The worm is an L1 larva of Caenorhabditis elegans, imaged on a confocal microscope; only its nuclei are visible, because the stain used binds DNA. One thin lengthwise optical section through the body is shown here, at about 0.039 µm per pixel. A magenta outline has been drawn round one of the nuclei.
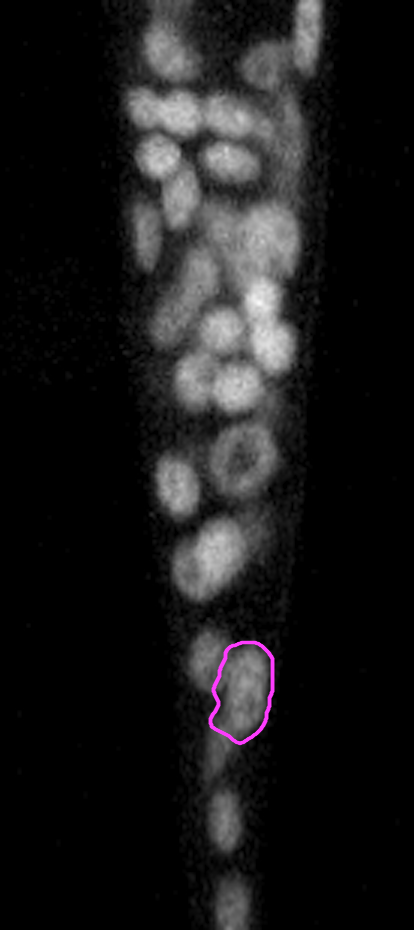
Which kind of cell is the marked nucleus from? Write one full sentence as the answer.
The marked nucleus belongs to a hypodermal cell (hyp).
